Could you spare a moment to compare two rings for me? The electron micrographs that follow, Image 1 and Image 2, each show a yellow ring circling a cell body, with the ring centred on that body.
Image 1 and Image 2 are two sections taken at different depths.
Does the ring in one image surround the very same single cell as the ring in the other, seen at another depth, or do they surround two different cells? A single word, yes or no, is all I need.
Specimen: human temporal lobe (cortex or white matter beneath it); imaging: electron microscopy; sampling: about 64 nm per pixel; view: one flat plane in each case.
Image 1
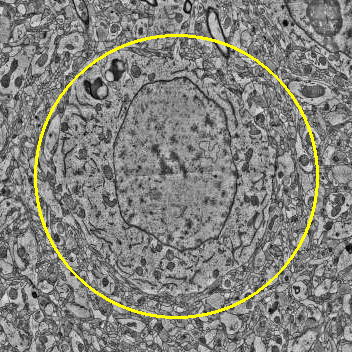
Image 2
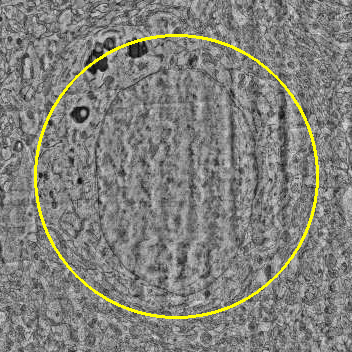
yes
